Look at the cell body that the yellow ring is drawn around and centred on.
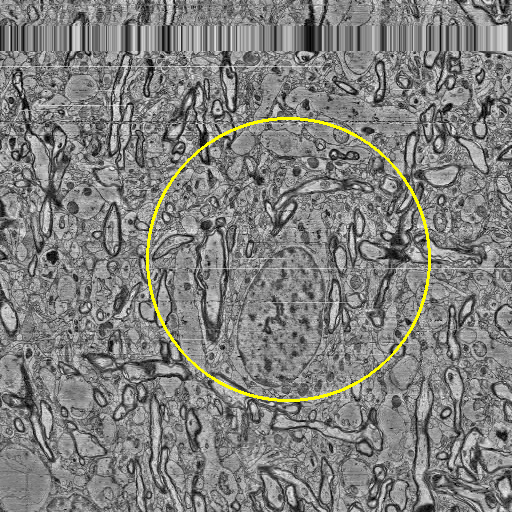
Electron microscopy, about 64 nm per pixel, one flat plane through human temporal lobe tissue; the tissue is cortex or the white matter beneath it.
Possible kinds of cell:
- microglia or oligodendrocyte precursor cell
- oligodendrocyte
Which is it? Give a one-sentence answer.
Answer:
The centred cell body is that of a microglial cell or oligodendrocyte precursor cell.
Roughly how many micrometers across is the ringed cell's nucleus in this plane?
Roughly 9 micrometres by 6 micrometres, so the nucleus is clearly longer than it is wide in this plane.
